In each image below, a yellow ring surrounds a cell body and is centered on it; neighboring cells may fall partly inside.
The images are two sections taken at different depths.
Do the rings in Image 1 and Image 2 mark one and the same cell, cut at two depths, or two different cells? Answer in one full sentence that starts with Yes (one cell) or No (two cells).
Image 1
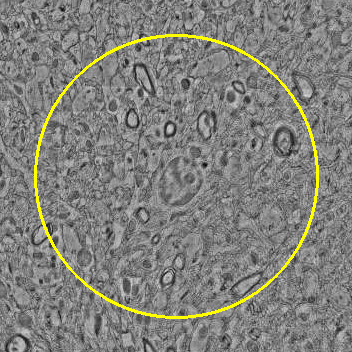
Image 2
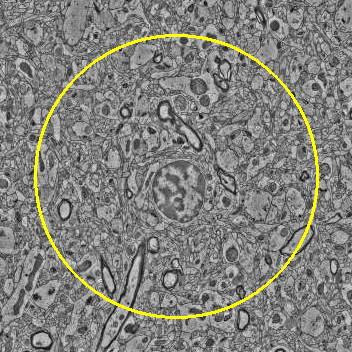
Yes, both rings are placed on a single cell.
